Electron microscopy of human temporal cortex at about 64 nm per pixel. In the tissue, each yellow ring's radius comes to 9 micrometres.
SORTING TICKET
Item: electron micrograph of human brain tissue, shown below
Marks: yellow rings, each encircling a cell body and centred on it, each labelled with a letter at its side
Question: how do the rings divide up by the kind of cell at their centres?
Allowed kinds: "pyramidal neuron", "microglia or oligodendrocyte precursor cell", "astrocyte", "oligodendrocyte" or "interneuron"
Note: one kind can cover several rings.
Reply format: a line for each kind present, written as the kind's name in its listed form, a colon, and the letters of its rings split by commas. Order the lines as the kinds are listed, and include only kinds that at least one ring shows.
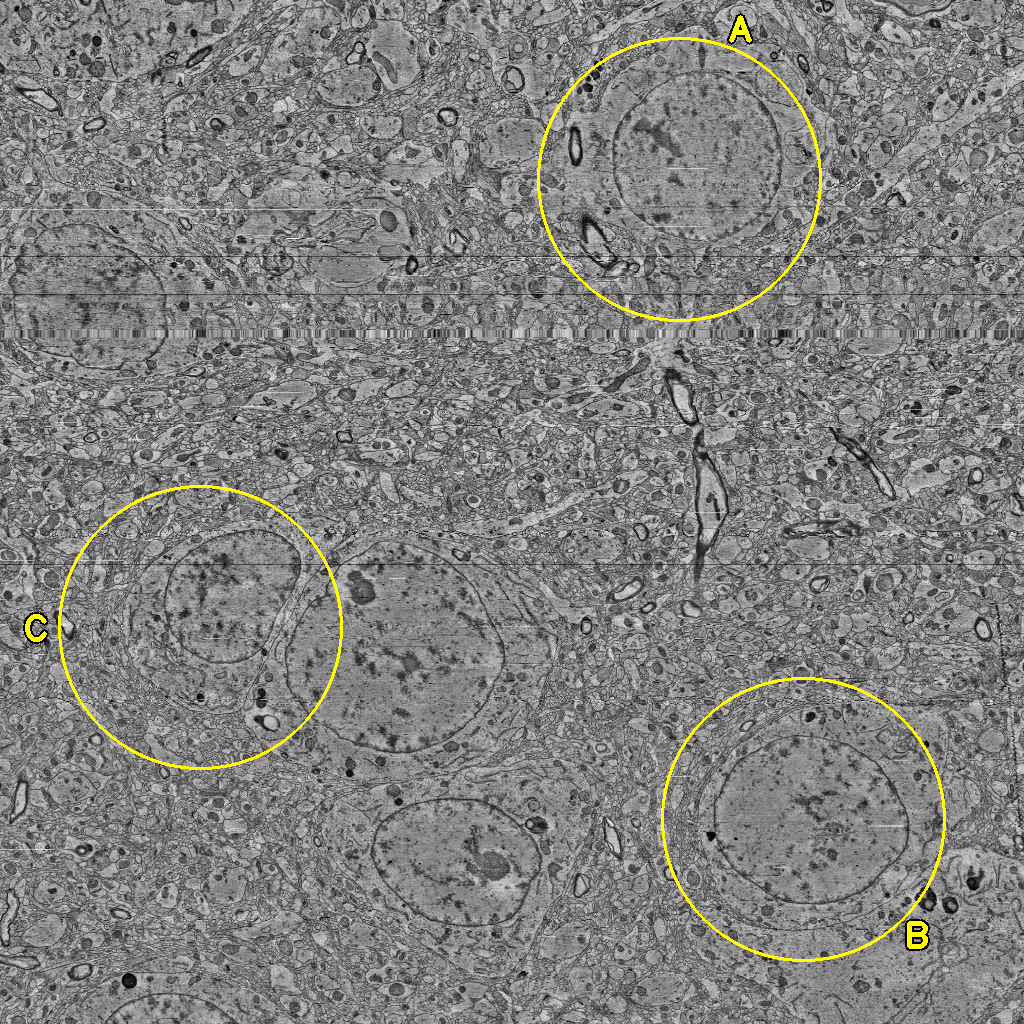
pyramidal neuron: B, C
astrocyte: A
